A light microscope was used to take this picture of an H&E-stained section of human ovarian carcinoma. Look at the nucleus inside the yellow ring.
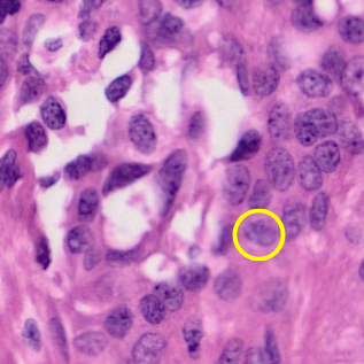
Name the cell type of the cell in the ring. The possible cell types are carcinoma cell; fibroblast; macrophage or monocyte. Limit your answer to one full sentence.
For cell typing purposes, the cell in the ring is a carcinoma cell.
